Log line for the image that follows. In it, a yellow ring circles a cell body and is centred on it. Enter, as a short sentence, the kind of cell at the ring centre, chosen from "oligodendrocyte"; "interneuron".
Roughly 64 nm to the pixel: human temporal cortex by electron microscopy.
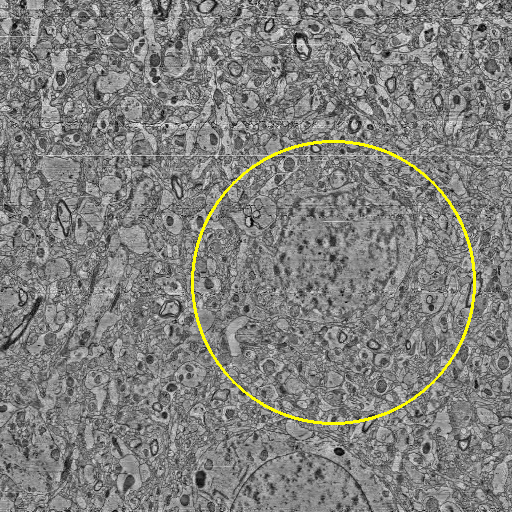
The ring centre is occupied by an interneuron.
